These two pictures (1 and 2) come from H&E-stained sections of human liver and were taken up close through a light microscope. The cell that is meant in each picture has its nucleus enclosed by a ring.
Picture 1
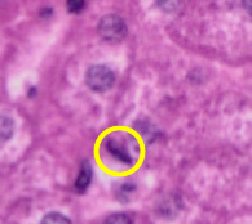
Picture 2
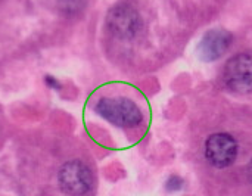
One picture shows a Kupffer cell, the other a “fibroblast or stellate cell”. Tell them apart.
1: fibroblast or stellate cell
2: Kupffer cell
